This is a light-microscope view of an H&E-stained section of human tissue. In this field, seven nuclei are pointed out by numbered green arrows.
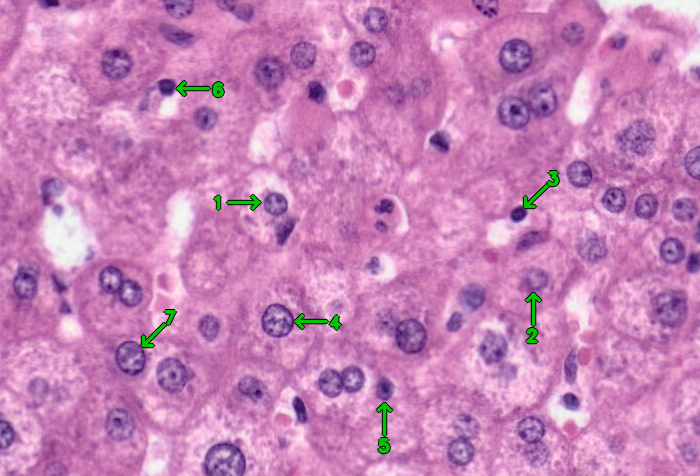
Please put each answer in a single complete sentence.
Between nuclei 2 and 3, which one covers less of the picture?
With nucleus 2 about 1.5 times its size, nucleus 3 is the smaller of the two.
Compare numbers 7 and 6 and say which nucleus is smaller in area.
Nucleus 6 is the smaller one; nucleus 7 covers about 3 times its area.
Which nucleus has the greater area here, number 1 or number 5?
At about 1.5 times the area of nucleus 5, nucleus 1 is the larger of the two.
